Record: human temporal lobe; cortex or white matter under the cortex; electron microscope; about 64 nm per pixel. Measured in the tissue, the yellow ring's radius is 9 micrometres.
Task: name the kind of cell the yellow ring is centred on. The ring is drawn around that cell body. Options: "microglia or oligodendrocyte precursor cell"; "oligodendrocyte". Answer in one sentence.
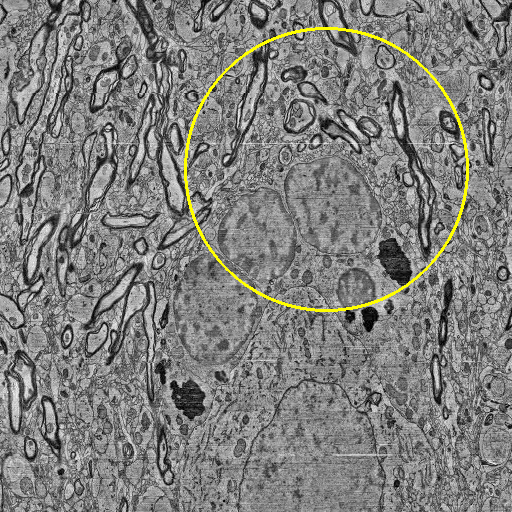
This cell body belongs to an oligodendrocyte.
